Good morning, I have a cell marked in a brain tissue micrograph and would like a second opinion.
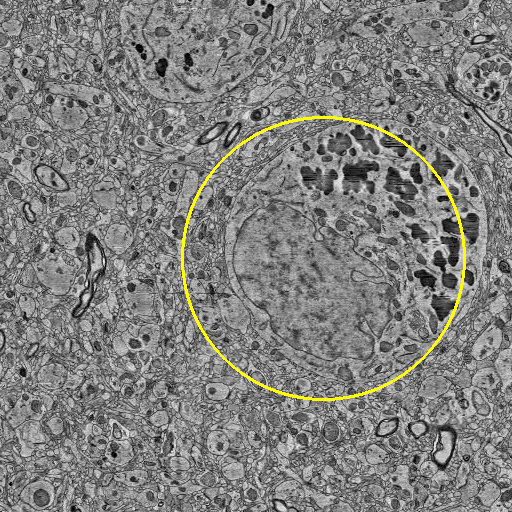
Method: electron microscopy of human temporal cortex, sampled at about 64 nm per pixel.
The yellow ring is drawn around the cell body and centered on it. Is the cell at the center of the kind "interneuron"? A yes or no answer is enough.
yes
